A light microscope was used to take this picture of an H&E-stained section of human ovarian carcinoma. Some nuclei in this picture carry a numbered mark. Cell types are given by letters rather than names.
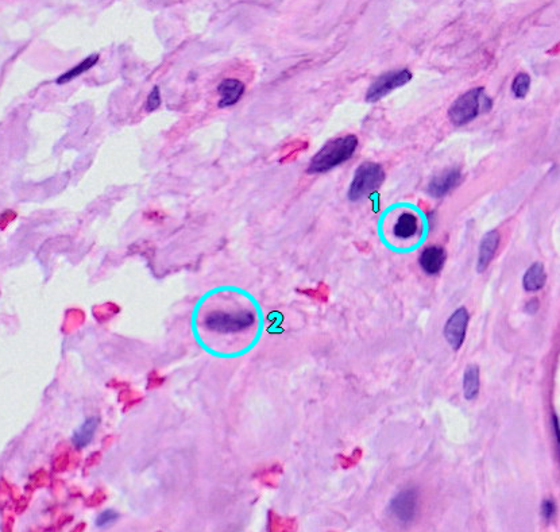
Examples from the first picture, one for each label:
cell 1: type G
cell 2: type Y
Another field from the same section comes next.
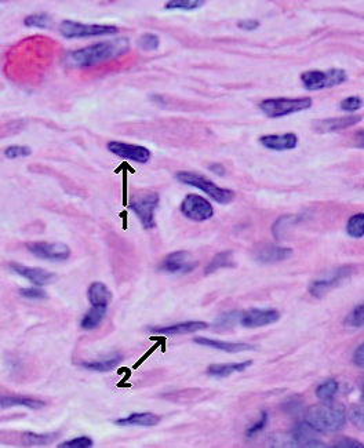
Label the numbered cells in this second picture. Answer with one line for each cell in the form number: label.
1: type G
2: type Y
